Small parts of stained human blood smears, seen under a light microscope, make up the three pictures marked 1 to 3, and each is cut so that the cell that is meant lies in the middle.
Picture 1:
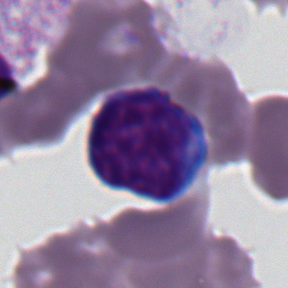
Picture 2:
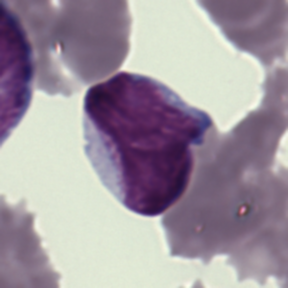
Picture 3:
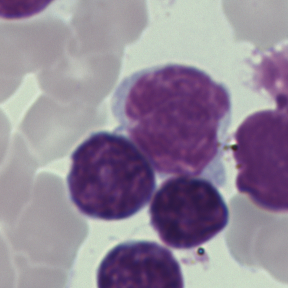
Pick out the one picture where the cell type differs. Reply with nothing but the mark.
1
